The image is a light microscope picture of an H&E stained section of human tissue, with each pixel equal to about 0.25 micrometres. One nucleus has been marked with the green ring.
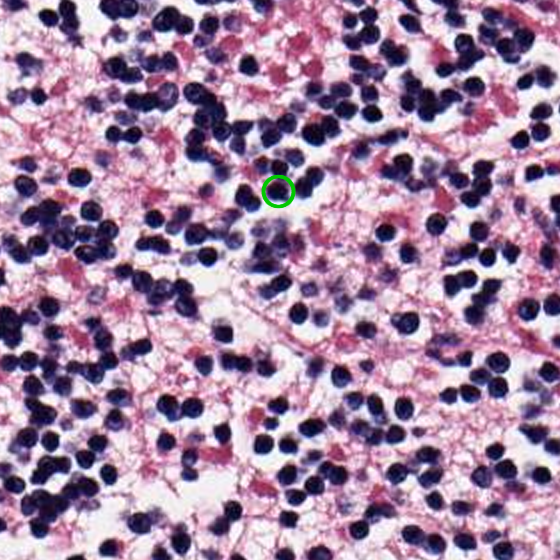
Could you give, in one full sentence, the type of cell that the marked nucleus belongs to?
The marked nucleus here is the nucleus of a cerebellar granule cell.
